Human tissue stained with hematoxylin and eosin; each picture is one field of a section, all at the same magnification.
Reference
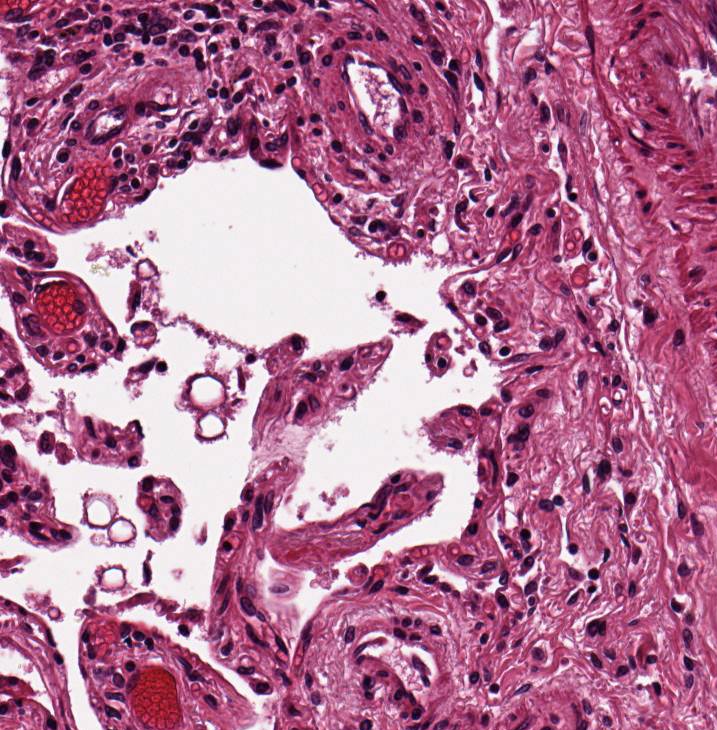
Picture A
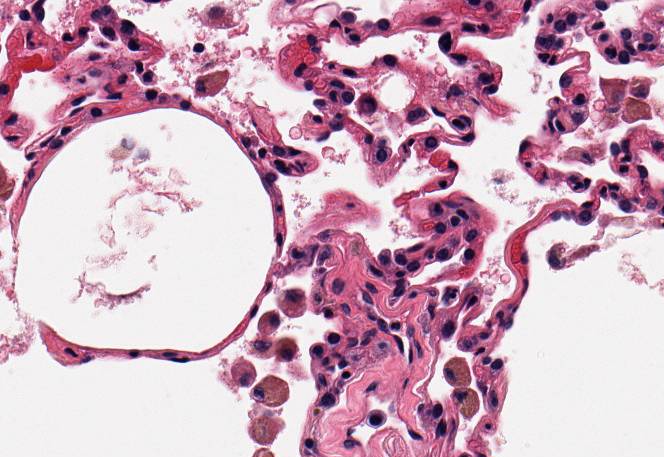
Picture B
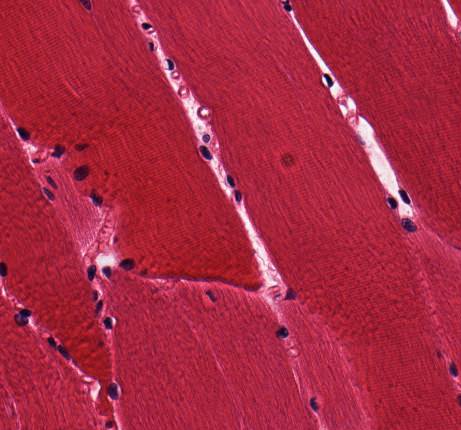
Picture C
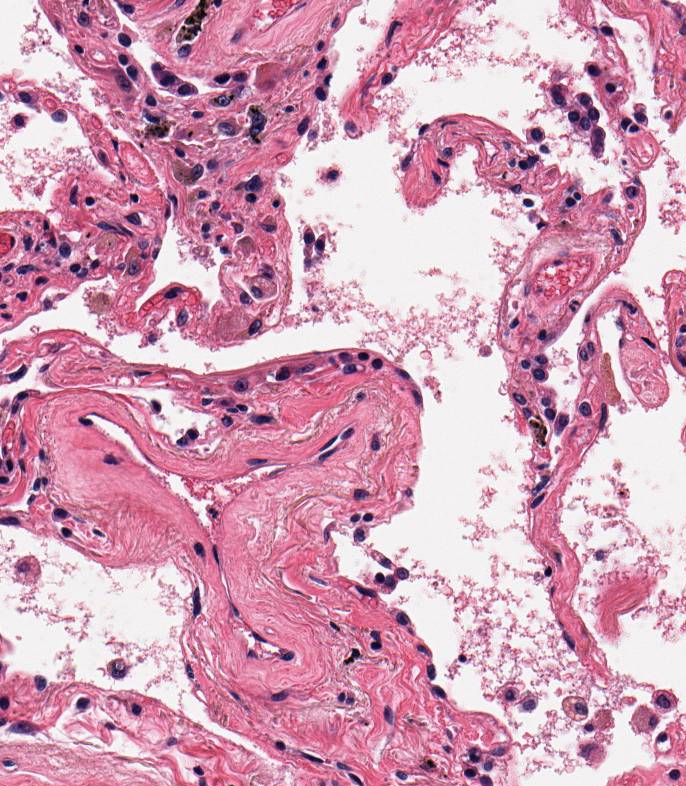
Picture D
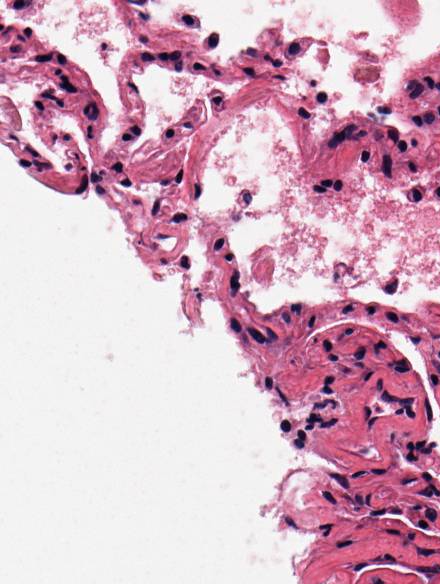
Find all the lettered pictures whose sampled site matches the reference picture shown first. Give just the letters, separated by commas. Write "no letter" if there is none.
A, C, D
